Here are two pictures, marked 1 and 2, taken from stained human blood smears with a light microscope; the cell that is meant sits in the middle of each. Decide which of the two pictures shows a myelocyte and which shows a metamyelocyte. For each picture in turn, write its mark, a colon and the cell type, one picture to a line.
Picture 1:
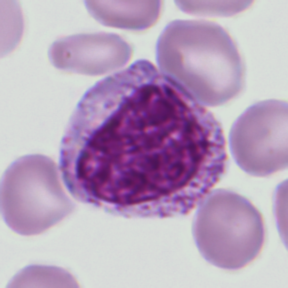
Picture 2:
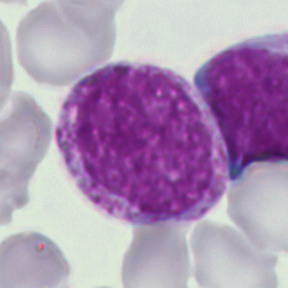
1: metamyelocyte
2: myelocyte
